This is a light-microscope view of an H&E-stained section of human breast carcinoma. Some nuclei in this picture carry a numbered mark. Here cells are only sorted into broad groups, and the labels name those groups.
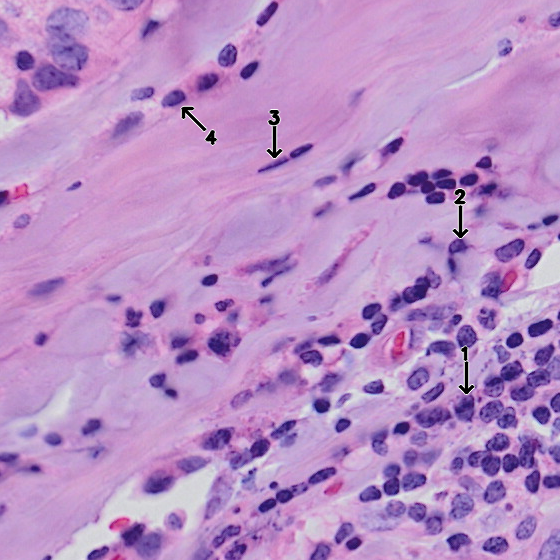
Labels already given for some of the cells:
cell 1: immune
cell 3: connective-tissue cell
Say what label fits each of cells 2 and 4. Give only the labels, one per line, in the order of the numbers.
immune
immune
